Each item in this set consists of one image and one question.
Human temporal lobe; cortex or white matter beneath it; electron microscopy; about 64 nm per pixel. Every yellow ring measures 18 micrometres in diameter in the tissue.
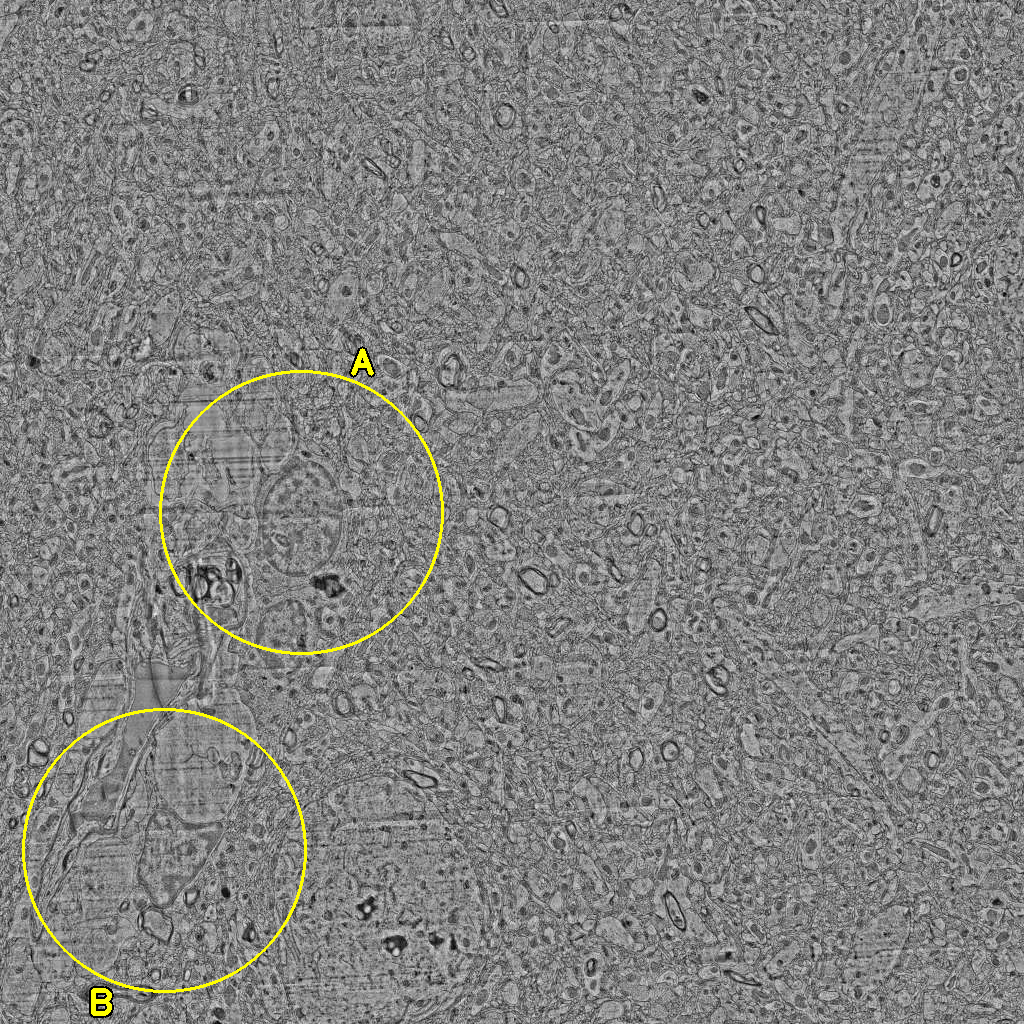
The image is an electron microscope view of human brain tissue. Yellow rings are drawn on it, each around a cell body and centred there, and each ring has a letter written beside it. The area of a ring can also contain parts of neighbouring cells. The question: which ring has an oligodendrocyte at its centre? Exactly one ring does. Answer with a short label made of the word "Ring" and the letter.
Ring A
